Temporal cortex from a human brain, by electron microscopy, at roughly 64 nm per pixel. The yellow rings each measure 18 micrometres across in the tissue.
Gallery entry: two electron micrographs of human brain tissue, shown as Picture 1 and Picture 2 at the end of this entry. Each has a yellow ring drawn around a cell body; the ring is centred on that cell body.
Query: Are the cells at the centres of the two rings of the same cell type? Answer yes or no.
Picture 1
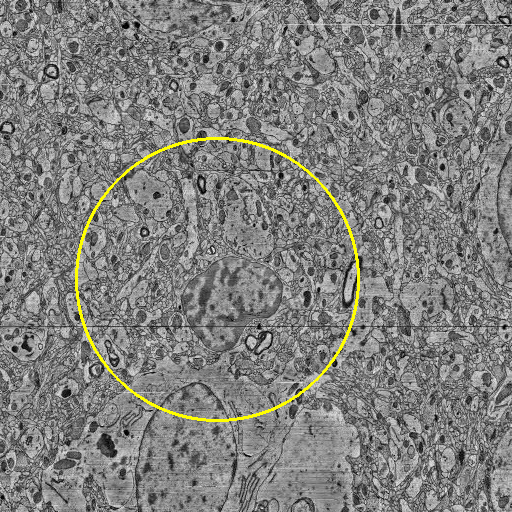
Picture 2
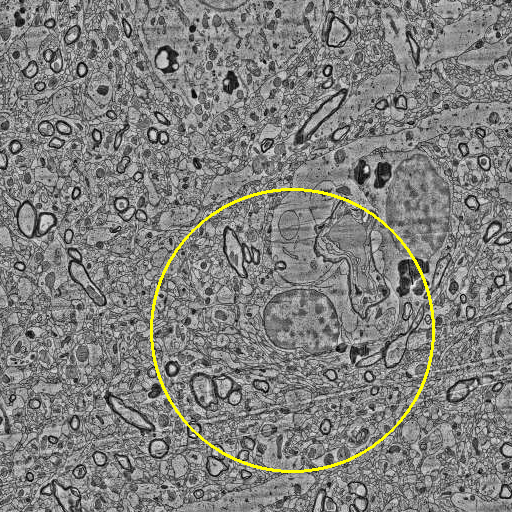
yes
